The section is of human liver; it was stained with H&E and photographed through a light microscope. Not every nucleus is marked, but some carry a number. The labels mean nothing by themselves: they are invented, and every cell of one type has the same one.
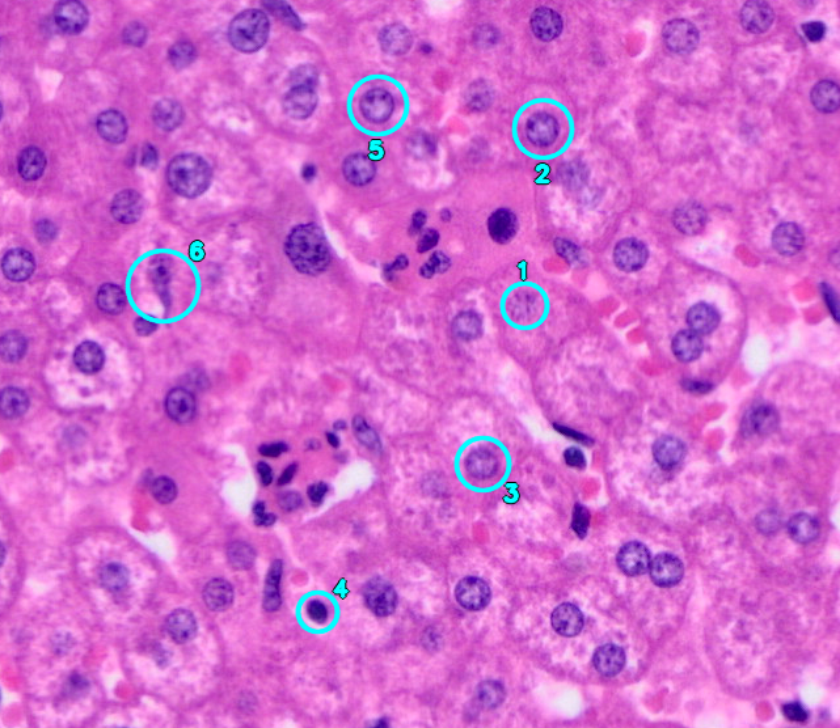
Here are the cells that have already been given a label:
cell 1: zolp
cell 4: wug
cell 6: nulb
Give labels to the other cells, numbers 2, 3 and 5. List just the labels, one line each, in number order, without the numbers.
zolp
zolp
zolp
